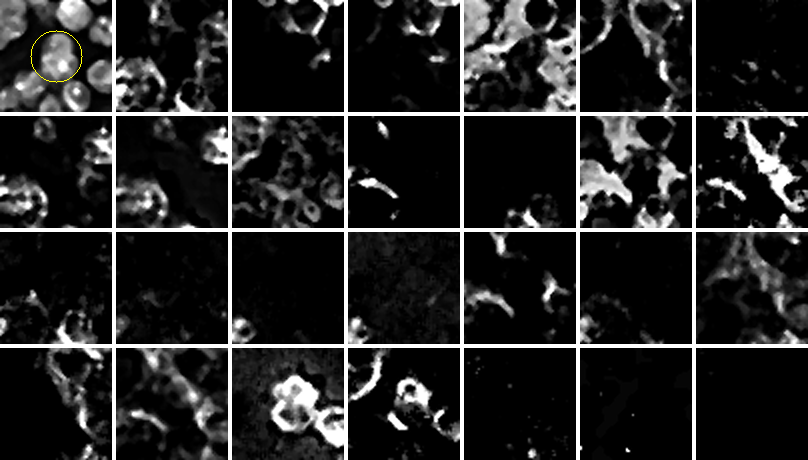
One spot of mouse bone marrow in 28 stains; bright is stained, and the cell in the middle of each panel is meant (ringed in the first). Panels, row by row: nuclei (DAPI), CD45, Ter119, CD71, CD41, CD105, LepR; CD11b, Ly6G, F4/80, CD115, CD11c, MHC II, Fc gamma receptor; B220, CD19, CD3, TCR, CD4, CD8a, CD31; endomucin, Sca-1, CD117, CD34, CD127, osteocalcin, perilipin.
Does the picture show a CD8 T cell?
No, it shows a KLS stem or progenitor cell.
